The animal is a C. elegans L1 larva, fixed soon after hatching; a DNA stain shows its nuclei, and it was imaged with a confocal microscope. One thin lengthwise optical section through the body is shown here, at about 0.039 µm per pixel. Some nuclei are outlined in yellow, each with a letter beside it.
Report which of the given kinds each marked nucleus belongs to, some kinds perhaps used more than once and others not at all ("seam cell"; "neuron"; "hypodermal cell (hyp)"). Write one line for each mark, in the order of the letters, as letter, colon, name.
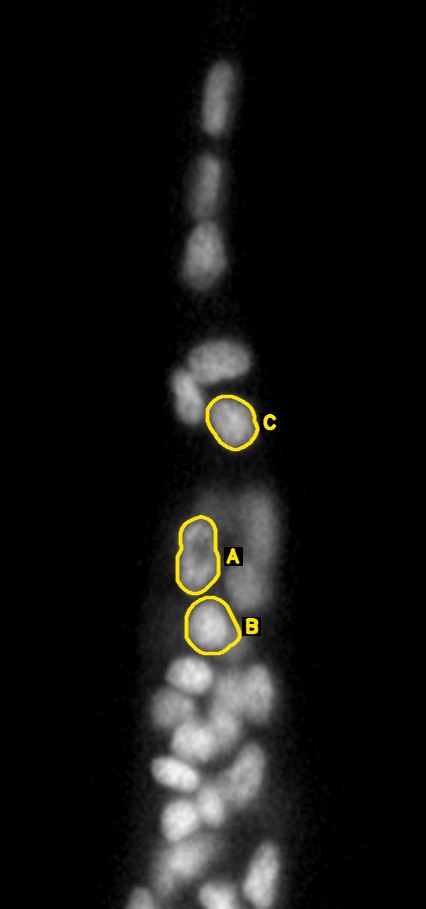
A: seam cell
B: neuron
C: hypodermal cell (hyp)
